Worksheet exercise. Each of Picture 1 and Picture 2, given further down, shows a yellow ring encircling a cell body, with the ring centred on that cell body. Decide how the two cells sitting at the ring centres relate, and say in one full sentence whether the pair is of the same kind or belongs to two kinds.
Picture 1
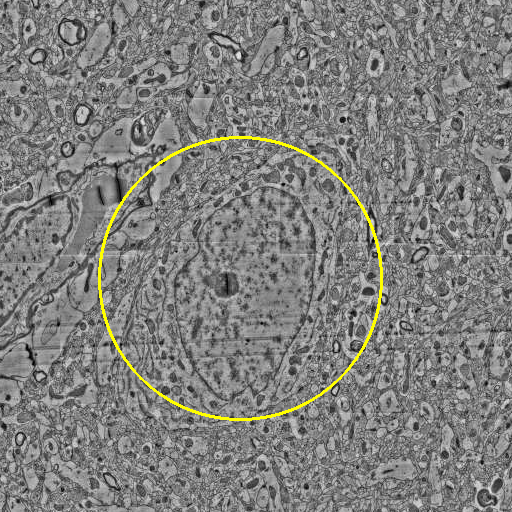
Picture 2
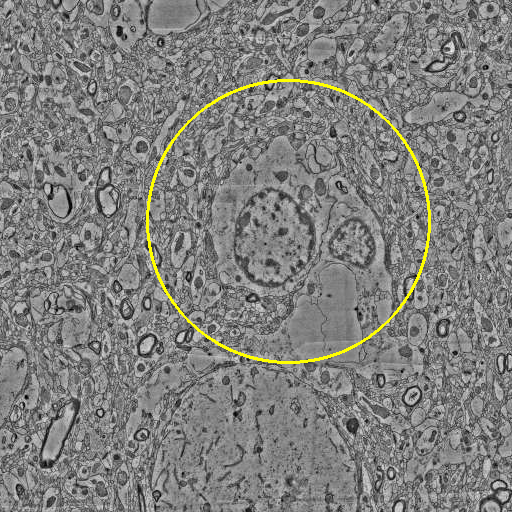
The cells at the ring centres in Picture 1 and Picture 2 belong to two kinds.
